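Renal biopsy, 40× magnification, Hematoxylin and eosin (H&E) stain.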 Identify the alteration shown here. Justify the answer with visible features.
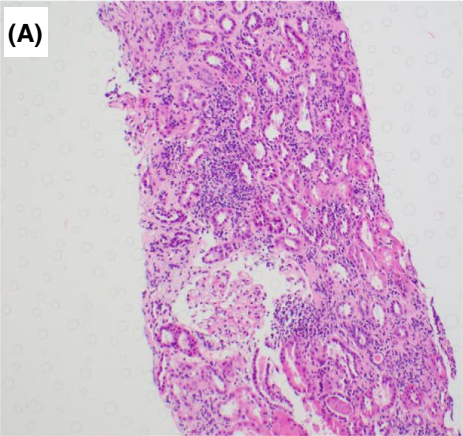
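A narrow core of kidney tissue with many tubules and a glomerulus. Dense clusters of small dark nuclei fill the spaces between the tubules. So: Inflamed cortex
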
